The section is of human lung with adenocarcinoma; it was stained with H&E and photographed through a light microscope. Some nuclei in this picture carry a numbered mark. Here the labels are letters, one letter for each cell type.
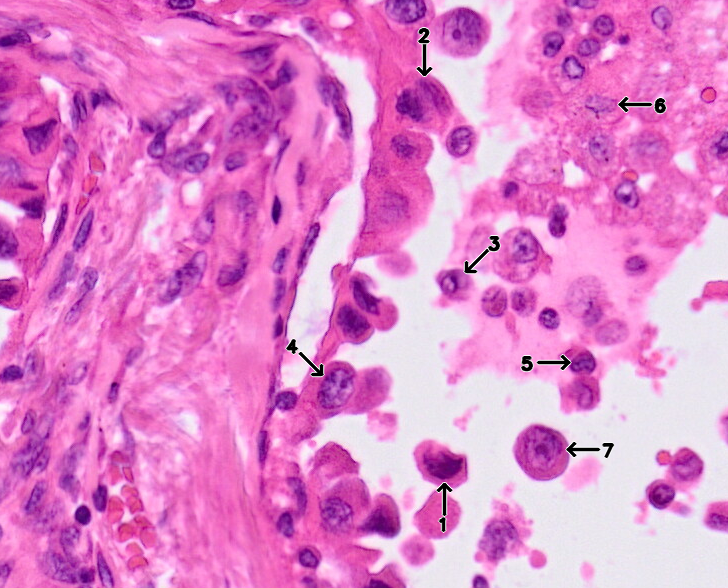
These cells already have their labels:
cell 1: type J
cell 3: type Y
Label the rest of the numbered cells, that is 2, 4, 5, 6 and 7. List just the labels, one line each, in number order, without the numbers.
type J
type J
type Y
type Y
type J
